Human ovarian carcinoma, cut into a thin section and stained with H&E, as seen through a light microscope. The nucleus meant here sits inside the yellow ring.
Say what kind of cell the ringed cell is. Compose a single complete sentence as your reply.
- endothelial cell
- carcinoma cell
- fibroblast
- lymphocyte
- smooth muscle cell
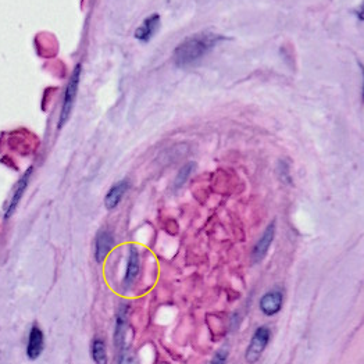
In this section of tissue, the ringed cell is an endothelial cell.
